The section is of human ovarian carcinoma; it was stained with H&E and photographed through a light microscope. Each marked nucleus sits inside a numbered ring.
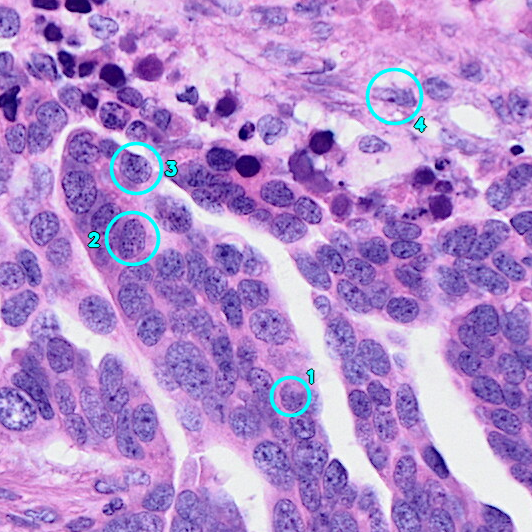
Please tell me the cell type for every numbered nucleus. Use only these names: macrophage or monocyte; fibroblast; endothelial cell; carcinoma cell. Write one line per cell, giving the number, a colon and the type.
1: carcinoma cell
2: carcinoma cell
3: carcinoma cell
4: fibroblast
